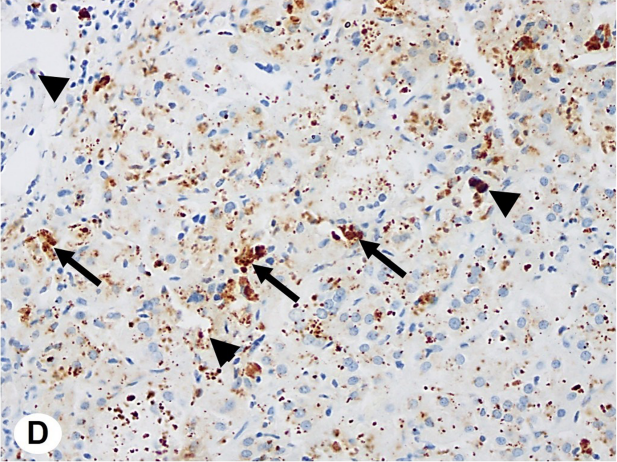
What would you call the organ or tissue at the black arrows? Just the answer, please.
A: hepatic parenchyma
